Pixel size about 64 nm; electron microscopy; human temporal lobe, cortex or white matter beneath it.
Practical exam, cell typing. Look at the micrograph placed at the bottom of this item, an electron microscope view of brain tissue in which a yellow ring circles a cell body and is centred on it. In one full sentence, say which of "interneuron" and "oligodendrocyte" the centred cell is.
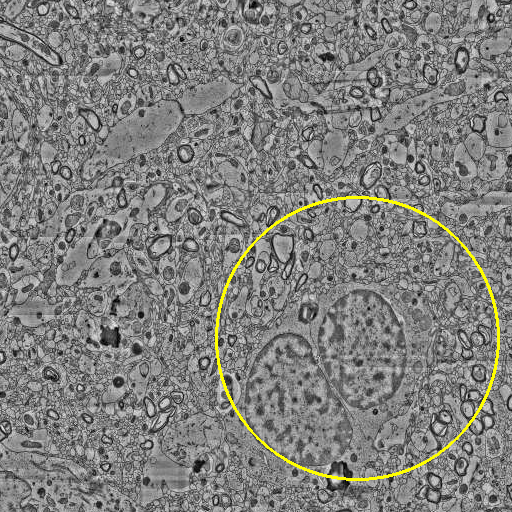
Given the options, an oligodendrocyte fits the cell whose body the yellow ring is centred on.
